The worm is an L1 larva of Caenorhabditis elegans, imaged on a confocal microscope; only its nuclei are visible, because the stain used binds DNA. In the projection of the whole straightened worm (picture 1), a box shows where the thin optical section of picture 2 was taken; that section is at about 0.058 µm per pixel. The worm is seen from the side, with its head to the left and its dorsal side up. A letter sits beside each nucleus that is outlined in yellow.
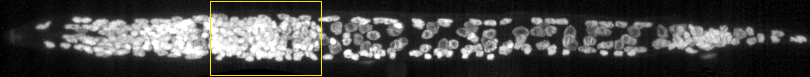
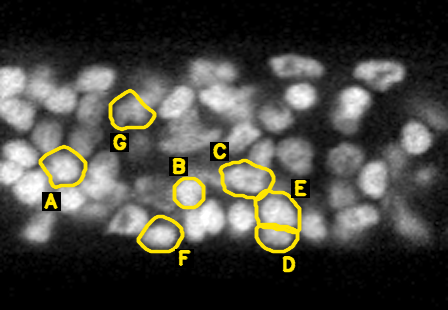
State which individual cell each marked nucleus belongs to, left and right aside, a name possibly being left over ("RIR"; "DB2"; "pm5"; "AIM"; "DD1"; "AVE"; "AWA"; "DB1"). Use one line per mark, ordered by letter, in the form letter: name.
A: RIR
B: AIM
C: pm5
D: DB1
E: DD1
F: DB2
G: AWA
